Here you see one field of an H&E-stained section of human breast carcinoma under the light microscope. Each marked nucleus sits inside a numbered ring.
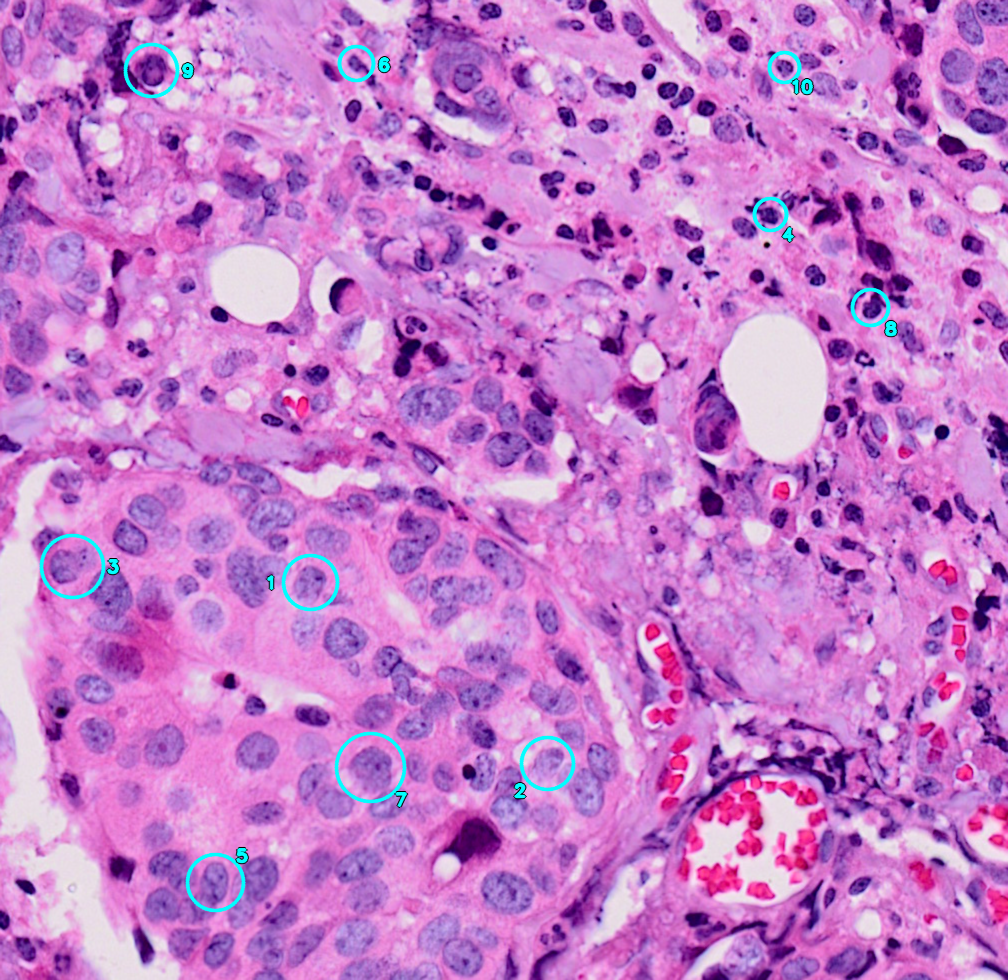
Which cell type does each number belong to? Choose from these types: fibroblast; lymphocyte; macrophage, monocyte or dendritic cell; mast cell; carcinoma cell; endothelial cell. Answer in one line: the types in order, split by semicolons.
carcinoma cell; carcinoma cell; carcinoma cell; lymphocyte; carcinoma cell; lymphocyte; carcinoma cell; lymphocyte; carcinoma cell; lymphocyte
